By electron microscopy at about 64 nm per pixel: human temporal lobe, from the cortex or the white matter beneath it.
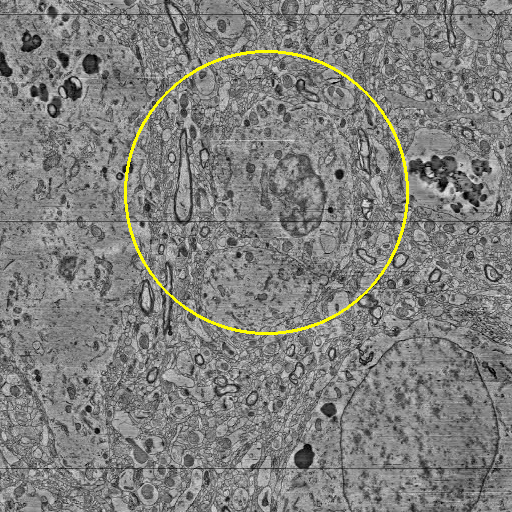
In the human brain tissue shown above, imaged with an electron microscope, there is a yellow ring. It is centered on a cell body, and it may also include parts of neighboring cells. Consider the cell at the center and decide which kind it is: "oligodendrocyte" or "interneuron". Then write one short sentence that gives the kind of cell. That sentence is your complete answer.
This centered cell body is that of an interneuron.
